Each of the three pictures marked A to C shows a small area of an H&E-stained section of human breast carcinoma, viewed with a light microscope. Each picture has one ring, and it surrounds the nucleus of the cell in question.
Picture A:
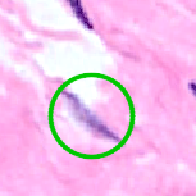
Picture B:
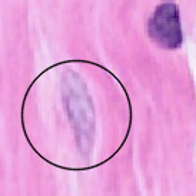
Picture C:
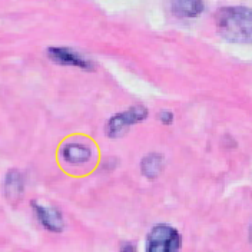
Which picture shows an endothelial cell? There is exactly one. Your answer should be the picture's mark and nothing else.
C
